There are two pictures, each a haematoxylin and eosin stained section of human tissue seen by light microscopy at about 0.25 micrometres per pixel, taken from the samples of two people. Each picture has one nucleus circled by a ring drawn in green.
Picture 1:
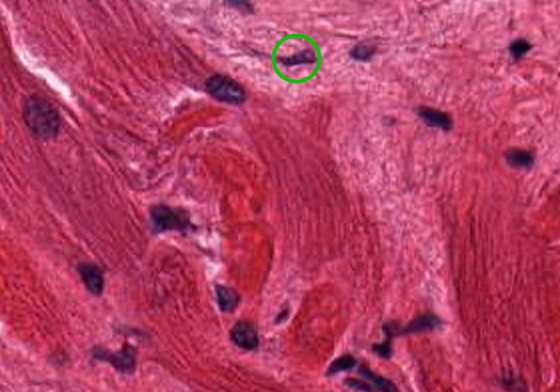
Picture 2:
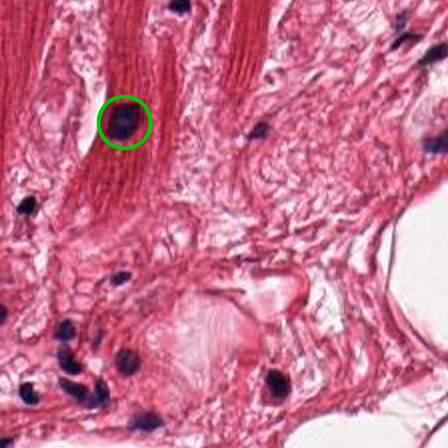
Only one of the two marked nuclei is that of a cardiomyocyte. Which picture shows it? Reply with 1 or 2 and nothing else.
2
